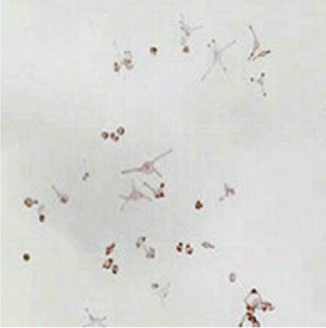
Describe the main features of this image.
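Cultured melanocytes here are mostly small, compact and rounded, appearing as dark brown dots scattered across a pale field, often singly or in small clusters. Most have lost their long, thin processes; only a few cells still show short or moderately long branching extensions. The rounded cells look more intensely pigmented because their contents are condensed into a small area, and the field is far sparser than a network of spread cells would be.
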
